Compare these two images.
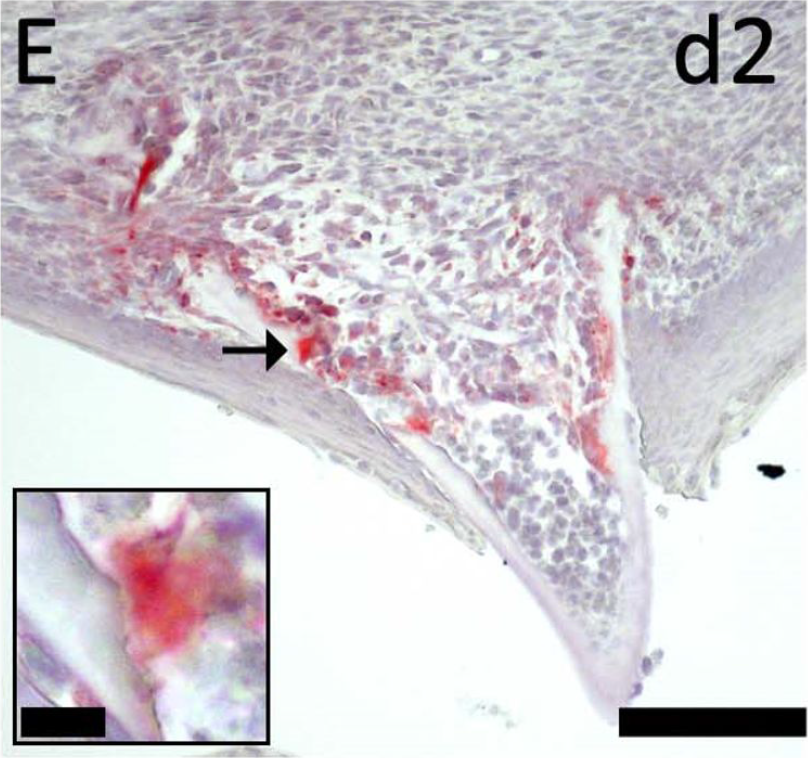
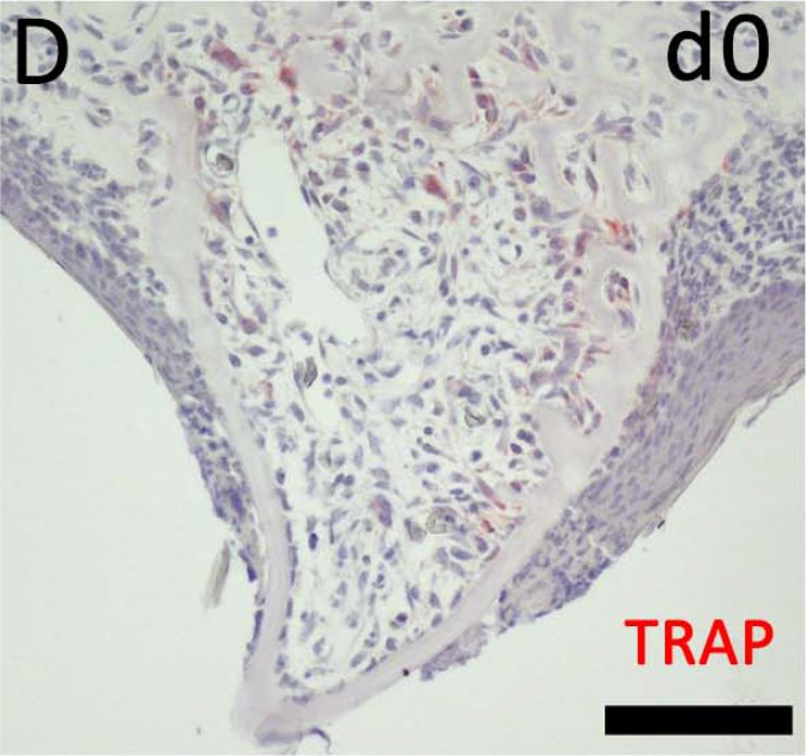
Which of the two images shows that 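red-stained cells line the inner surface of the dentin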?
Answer: The first image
